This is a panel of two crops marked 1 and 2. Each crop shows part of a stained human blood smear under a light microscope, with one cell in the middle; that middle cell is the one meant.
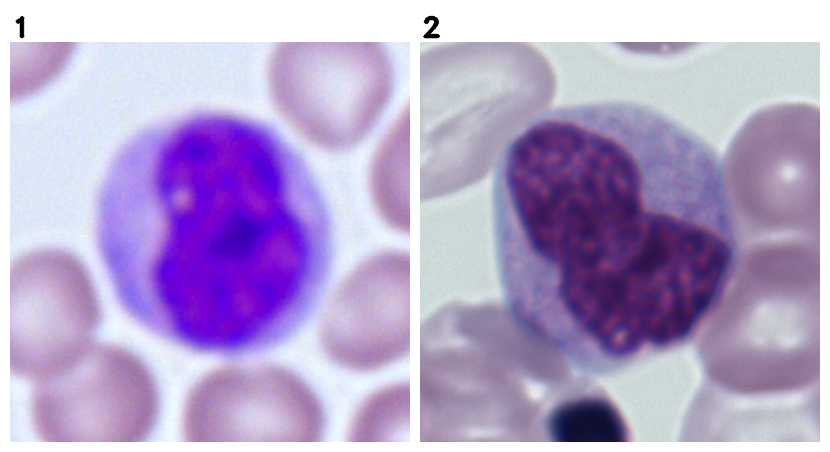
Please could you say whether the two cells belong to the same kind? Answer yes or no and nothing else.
yes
